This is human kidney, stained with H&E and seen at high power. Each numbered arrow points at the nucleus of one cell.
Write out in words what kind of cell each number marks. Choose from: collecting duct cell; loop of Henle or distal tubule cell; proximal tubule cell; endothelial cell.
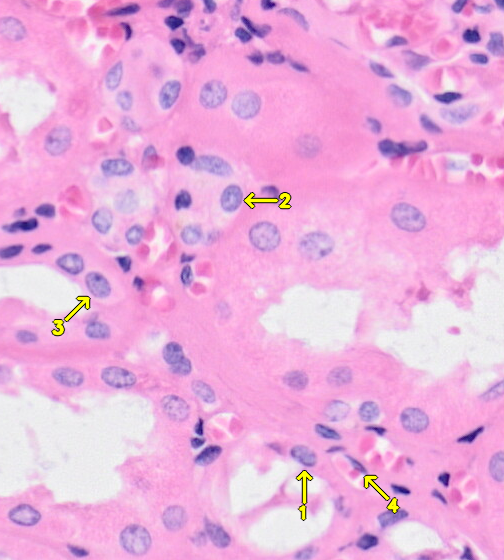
Cell 1 is a loop of Henle or distal tubule cell. Cells 2 and 3 are collecting duct cells. Cell 4 is an endothelial cell.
